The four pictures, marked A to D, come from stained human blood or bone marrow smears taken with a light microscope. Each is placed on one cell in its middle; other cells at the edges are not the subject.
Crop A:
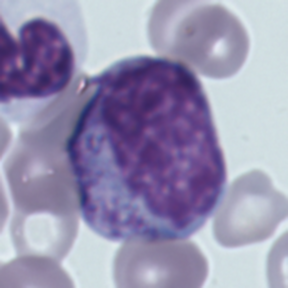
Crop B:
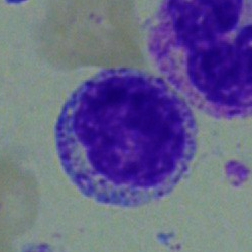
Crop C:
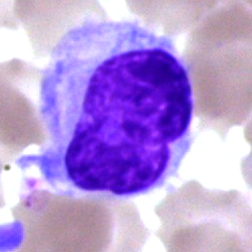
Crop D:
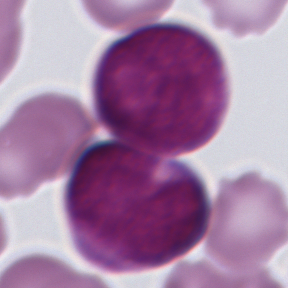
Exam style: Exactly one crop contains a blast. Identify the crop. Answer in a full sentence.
Crop D is the crop in which a blast is shown.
